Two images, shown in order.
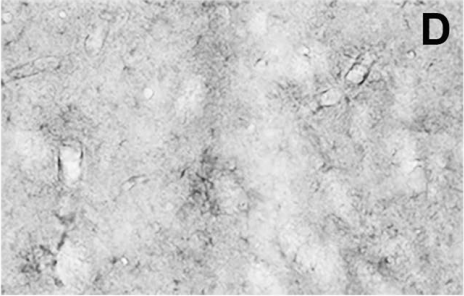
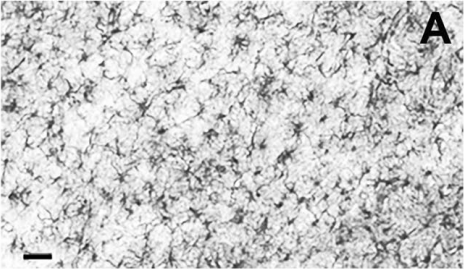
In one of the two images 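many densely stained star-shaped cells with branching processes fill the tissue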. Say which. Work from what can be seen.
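First image: only faint, sparse staining with few recognisable cells around vessels. Second image: dark star-shaped cells with fine processes are spread densely over the whole field. That points to this answer: the second image.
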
